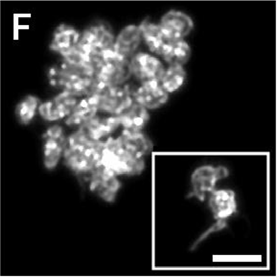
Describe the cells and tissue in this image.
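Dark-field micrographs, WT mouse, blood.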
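Dozens of small platelets are packed into one dense, irregular clump, touching and overlapping so that individual outlines are often hard to separate. A boxed inset in the lower corner shows a pair of platelets apart from the clump; these have rounded bright bodies from which thin, elongated projections extend outward, the pseudopodia of activated platelets.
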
